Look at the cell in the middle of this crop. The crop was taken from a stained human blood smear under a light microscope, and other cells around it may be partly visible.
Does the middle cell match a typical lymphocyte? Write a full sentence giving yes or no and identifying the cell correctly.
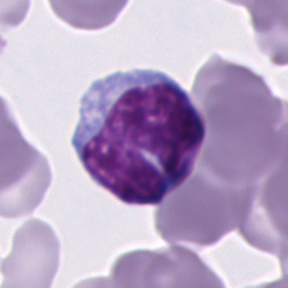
Yes, the cell at the midpoint of the crop is a typical lymphocyte.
